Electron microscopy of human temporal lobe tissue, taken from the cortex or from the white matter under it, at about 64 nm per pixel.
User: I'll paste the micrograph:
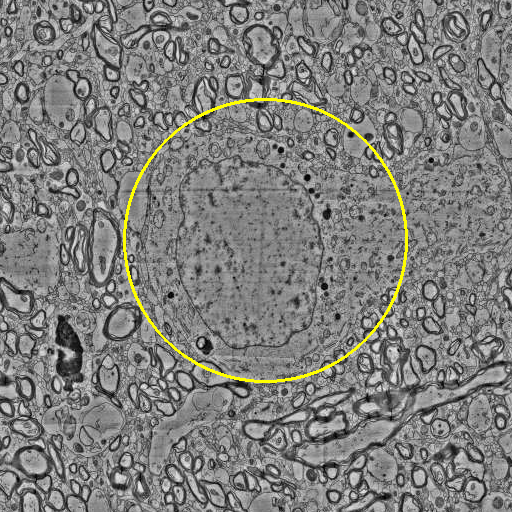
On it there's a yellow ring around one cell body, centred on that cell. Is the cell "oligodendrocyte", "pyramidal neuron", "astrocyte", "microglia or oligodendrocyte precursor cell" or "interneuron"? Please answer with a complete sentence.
The cell ringed in yellow is a pyramidal neuron.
